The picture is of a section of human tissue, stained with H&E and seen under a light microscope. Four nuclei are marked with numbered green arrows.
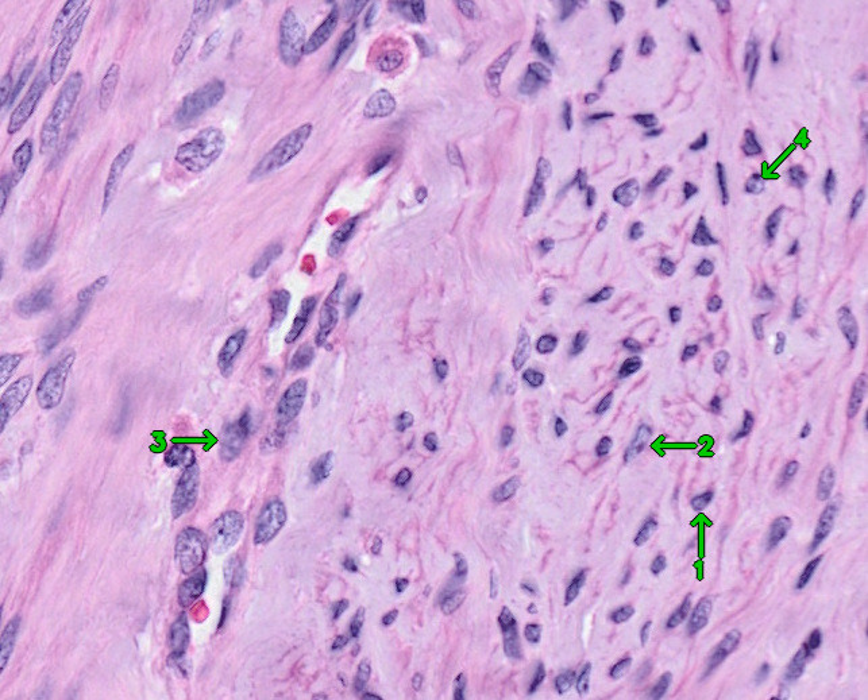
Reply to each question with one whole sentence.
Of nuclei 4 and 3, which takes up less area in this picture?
Nucleus 4 is the smaller one; nucleus 3 covers about 3 times its area.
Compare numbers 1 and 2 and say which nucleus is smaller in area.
Number 1 is smaller, since number 2 takes up about 2 times as much area.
